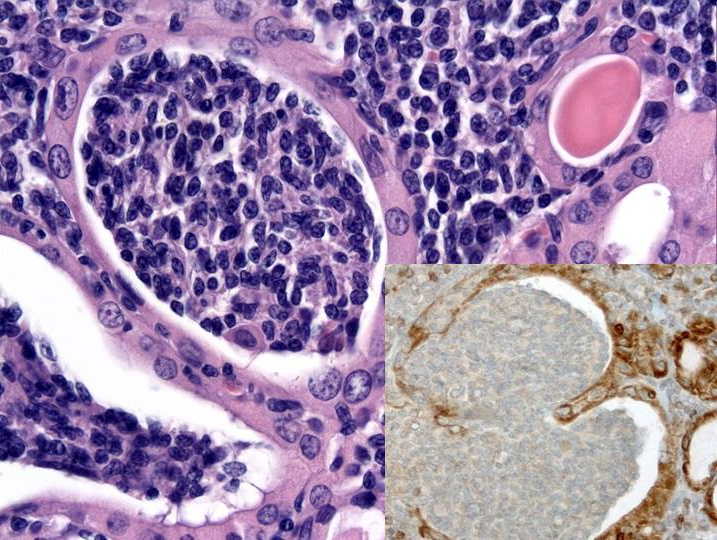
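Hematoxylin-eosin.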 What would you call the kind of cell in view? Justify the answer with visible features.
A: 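Small to medium cells with dark, irregular, somewhat angulated nuclei. Scant cytoplasm, cells closely packed inside the lumen. That points to this answer: centrocyte-like lymphoid cells.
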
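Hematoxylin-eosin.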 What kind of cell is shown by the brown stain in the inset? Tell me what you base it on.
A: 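In the inset, brown stain lines a thin rim around rounded clusters of unstained cells. Brown-stained cells also line small empty lumens at the right edge of the inset.
Conclusion: epithelial follicular cells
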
